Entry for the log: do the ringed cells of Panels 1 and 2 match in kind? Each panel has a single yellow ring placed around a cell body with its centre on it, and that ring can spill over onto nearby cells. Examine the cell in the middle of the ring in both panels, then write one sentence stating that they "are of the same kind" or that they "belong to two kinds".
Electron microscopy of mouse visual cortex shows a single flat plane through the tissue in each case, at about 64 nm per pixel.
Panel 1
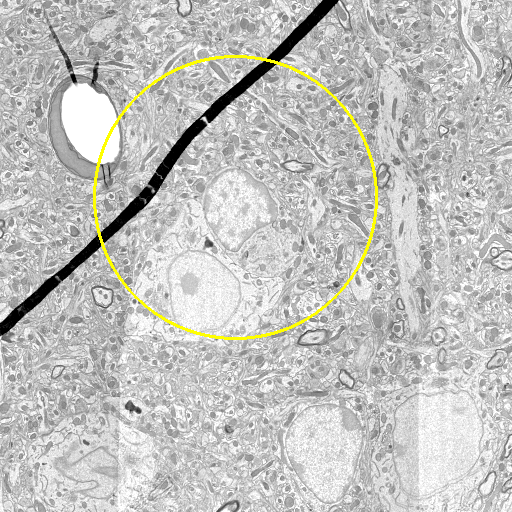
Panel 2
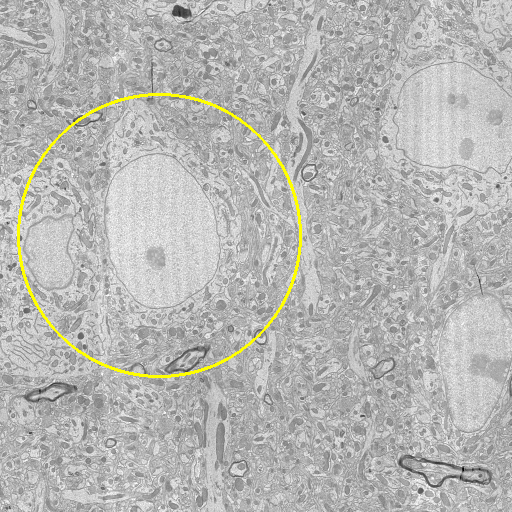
The centre cell of Panel 1's ring and that of Panel 2's ring belong to two kinds.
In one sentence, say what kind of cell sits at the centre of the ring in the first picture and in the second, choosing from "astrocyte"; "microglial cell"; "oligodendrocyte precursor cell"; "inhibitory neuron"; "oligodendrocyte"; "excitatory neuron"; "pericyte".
The first picture's ringed cell is an oligodendrocyte, while the second picture's is an excitatory neuron.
